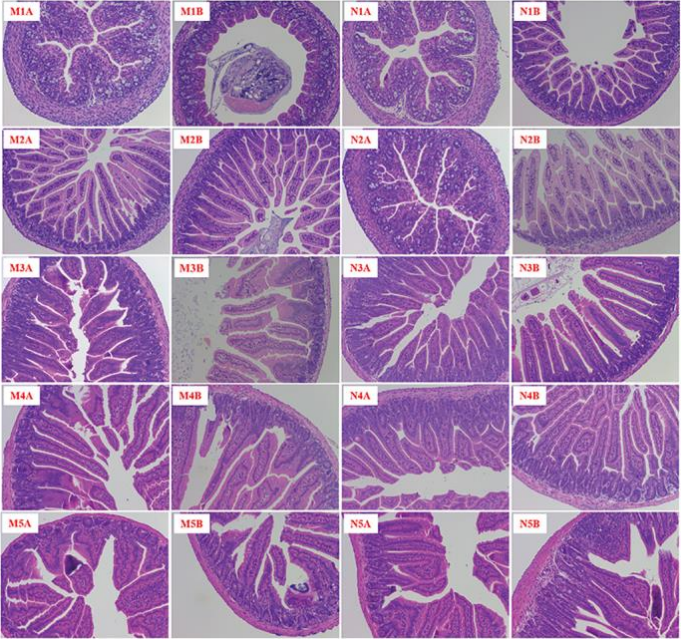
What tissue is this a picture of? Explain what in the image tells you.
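Small intestine. Cross-sections of a tubular organ with a central lumen. Many long finger-like villi project into the lumen. Villi are lined by a purple-staining columnar epithelium with pink cores. A thin outer muscular wall surrounds the mucosa.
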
